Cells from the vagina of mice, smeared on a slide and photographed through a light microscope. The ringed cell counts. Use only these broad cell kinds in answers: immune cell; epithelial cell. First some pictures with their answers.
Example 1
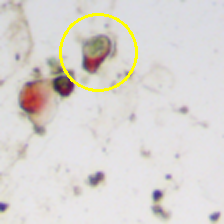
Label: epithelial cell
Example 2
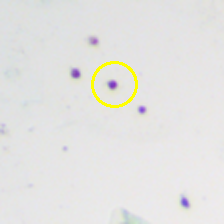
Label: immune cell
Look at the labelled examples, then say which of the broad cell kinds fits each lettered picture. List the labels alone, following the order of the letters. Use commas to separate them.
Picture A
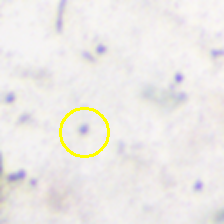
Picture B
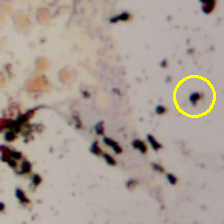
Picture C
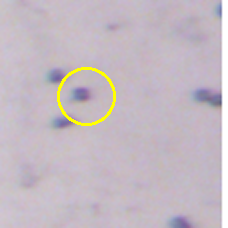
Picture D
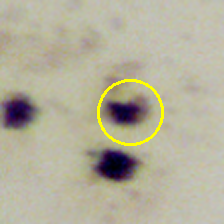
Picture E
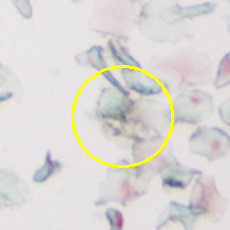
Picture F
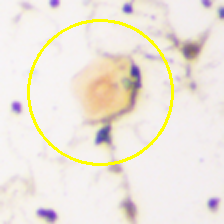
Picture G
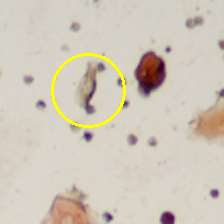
immune cell, immune cell, immune cell, immune cell, epithelial cell, epithelial cell, epithelial cell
